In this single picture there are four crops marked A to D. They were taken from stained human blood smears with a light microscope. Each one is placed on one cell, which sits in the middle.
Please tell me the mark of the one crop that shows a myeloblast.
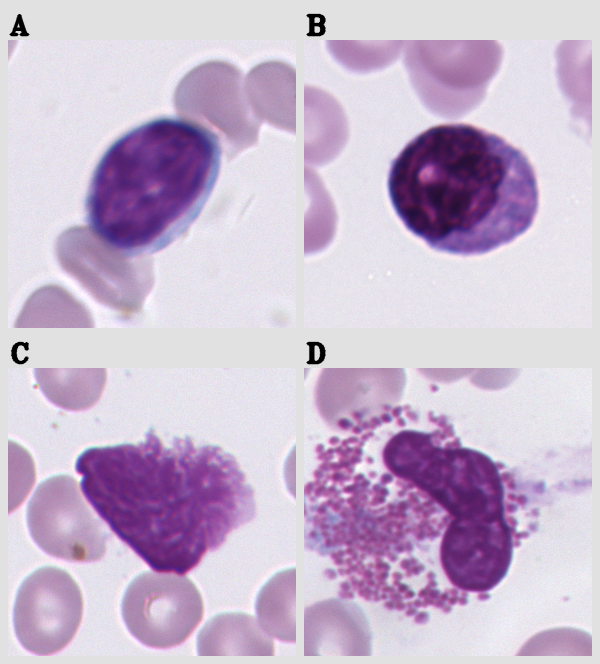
A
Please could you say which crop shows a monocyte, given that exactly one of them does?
B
